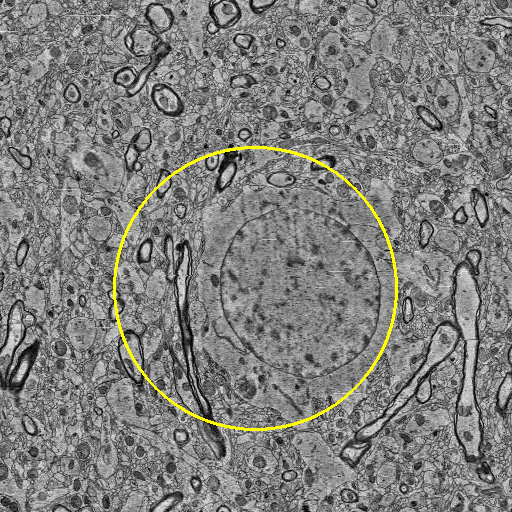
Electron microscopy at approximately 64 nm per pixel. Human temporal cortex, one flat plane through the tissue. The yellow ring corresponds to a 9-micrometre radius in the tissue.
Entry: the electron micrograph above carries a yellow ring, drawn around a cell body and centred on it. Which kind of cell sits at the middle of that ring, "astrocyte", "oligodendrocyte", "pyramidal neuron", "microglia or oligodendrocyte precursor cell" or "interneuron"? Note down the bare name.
astrocyte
